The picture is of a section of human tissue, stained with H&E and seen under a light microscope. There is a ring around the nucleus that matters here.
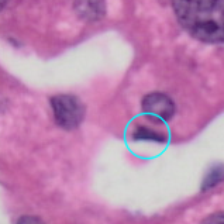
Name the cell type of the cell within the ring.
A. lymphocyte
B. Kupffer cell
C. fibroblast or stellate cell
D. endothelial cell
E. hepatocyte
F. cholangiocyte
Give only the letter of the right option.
C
